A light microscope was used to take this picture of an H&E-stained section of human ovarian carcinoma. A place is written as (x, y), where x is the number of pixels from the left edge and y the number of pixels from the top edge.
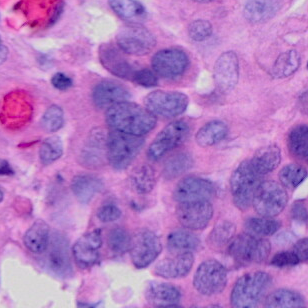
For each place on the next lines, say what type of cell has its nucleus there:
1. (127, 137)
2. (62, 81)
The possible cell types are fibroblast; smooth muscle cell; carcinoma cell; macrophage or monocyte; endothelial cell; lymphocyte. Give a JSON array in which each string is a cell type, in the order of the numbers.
["carcinoma cell", "lymphocyte"]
